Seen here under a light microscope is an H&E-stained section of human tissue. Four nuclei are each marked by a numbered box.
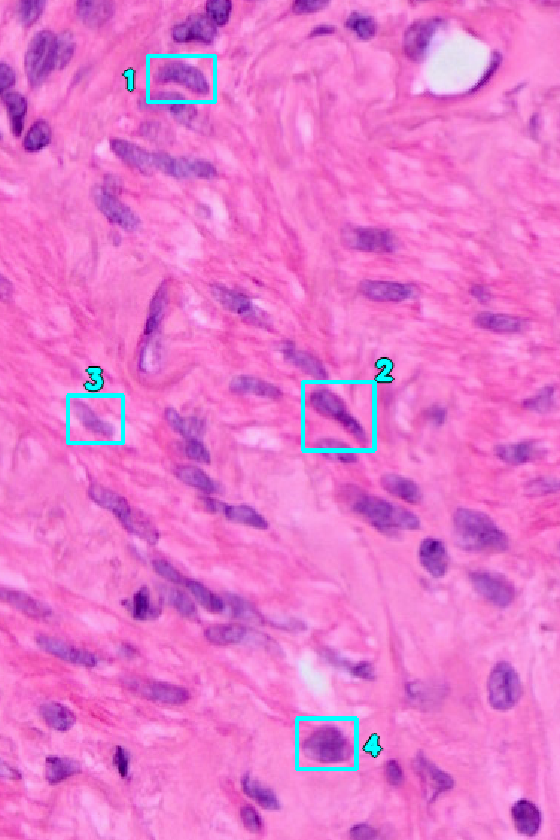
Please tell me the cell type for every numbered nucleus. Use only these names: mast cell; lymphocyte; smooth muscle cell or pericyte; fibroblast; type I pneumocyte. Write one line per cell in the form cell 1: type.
cell 1: smooth muscle cell or pericyte
cell 2: smooth muscle cell or pericyte
cell 3: smooth muscle cell or pericyte
cell 4: fibroblast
